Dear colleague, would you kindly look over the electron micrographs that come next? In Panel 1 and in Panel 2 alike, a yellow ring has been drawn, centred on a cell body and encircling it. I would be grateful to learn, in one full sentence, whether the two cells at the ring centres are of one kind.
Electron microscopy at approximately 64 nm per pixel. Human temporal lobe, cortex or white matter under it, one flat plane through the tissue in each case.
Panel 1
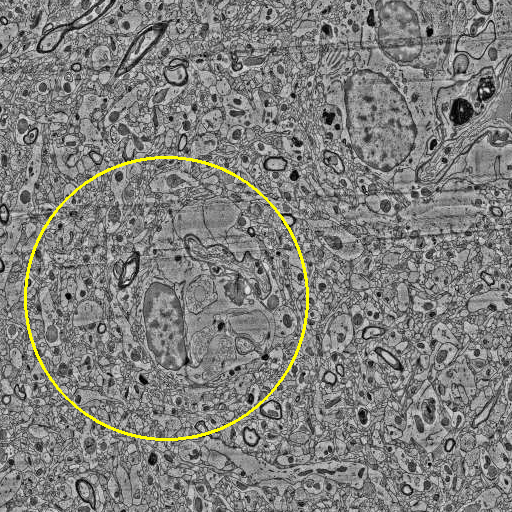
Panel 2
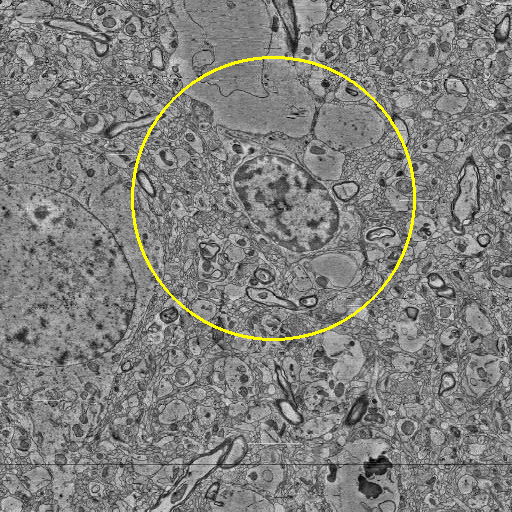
Yes, the cells in the middle of the rings in the two panels are of one kind.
